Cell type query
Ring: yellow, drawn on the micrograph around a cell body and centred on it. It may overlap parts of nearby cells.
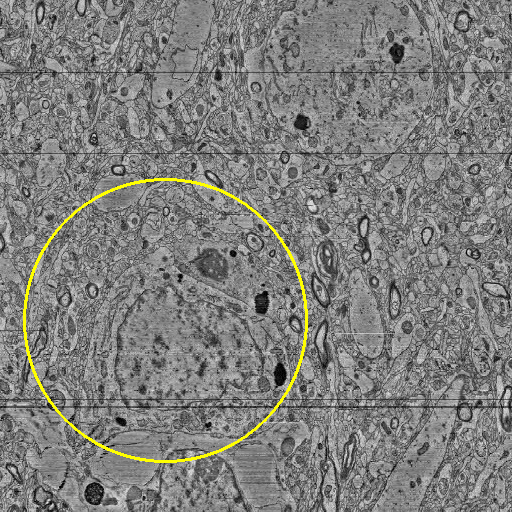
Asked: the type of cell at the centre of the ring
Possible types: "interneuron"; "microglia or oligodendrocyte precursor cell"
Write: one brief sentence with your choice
The ring marks an interneuron.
